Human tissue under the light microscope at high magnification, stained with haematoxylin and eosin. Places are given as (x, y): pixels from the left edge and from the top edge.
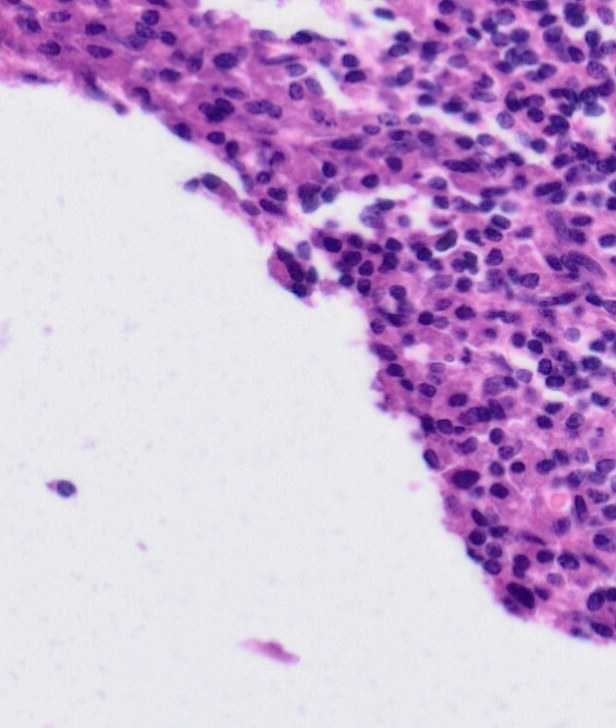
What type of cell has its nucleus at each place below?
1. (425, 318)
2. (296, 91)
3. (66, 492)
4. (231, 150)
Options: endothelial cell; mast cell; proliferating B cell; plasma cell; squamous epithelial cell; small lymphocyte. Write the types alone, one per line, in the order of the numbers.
plasma cell
plasma cell
small lymphocyte
plasma cell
